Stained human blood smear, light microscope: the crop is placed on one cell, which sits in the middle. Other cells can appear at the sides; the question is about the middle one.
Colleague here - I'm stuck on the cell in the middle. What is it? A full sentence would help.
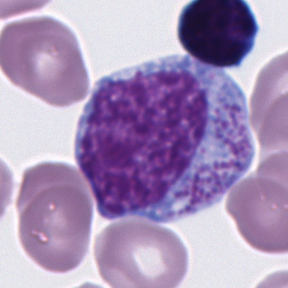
In the centre of this crop there is a promyelocyte.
